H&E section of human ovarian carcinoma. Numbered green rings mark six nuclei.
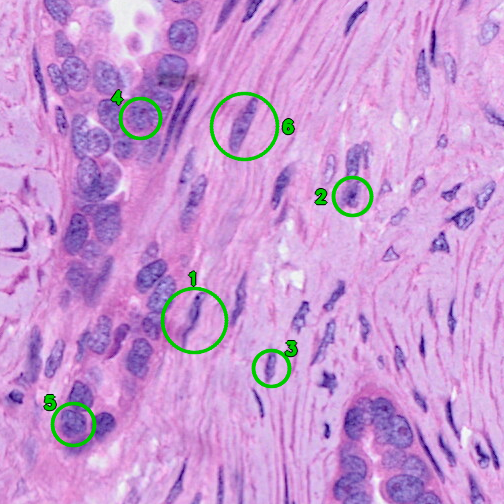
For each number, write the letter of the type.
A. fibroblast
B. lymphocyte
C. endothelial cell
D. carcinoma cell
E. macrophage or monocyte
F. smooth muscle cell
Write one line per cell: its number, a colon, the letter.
1: A
2: A
3: A
4: D
5: D
6: A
